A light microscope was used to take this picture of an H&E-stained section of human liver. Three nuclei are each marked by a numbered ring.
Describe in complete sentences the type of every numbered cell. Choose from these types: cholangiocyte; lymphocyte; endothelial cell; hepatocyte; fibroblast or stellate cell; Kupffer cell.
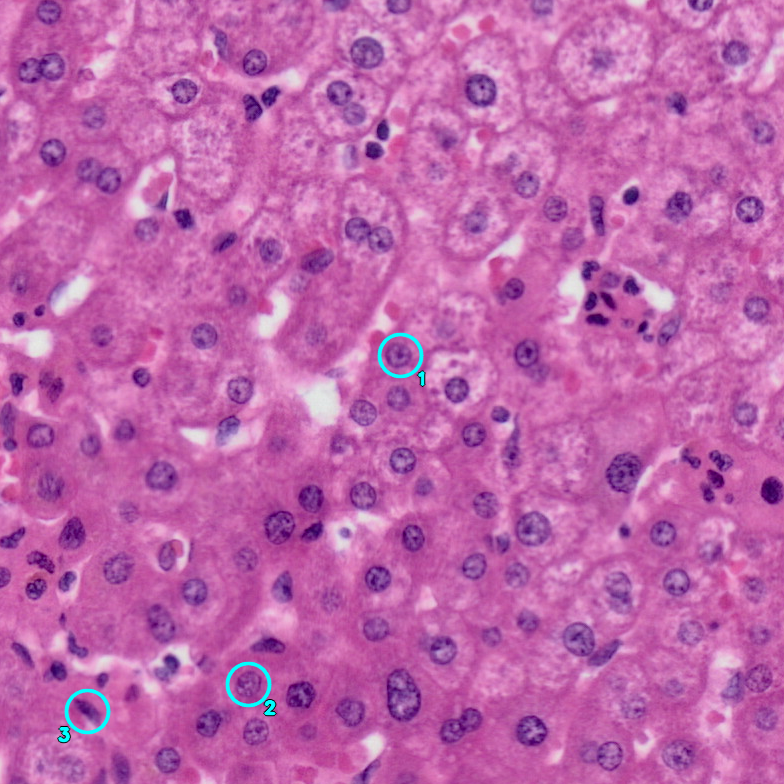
Cells 1 and 2 are hepatocytes. Cell 3 is a fibroblast or stellate cell.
